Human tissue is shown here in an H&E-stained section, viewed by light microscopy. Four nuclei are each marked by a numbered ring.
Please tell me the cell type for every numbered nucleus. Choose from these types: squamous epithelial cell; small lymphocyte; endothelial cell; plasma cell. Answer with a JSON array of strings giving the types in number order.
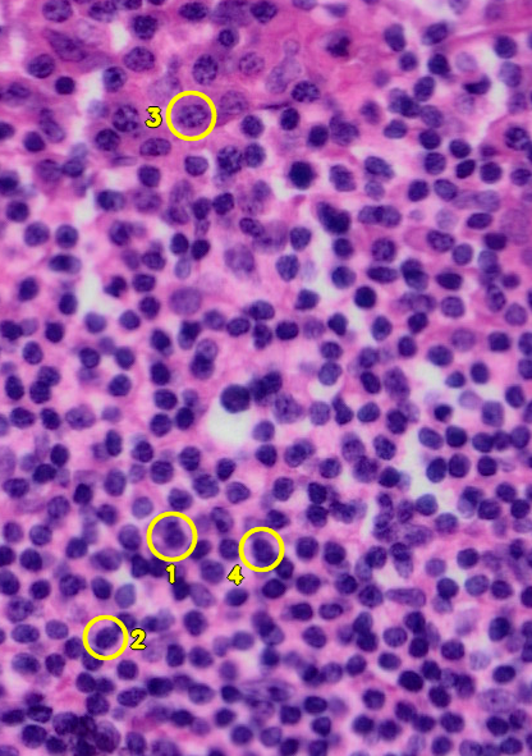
["small lymphocyte", "small lymphocyte", "plasma cell", "small lymphocyte"]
